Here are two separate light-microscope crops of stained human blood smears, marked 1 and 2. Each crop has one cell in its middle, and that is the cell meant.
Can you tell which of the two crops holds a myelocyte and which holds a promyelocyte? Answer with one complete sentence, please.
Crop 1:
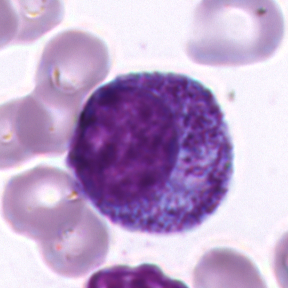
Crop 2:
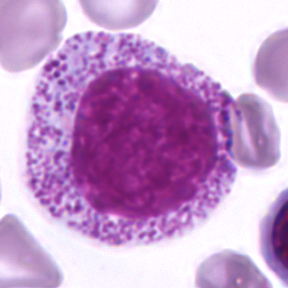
The cell in crop 1 is a promyelocyte; the cell in crop 2 is a myelocyte.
